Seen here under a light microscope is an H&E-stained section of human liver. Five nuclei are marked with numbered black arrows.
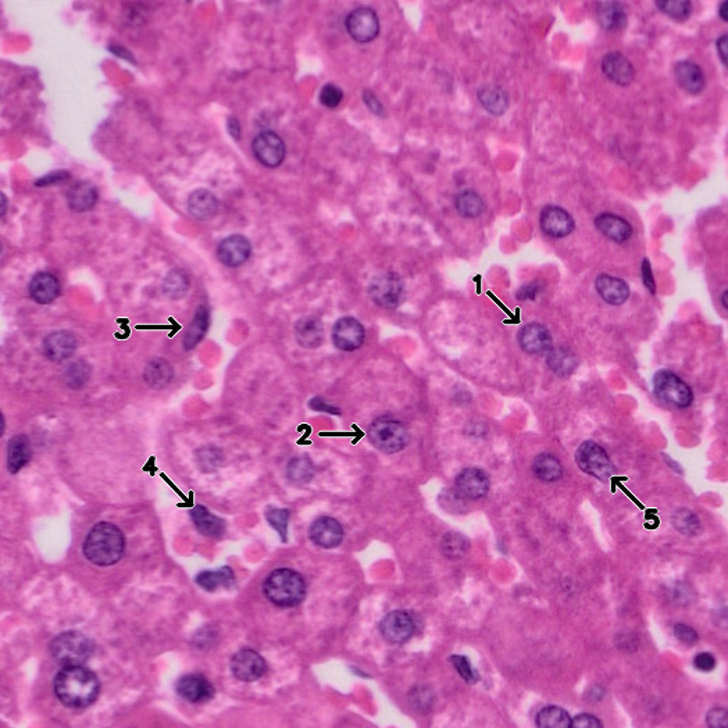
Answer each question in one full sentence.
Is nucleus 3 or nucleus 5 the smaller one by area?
It is nucleus 3; nucleus 5 has about 1.5 times its area.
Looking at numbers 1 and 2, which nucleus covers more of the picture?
Nucleus 2 is larger, with an area about 1.5 times that of nucleus 1.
